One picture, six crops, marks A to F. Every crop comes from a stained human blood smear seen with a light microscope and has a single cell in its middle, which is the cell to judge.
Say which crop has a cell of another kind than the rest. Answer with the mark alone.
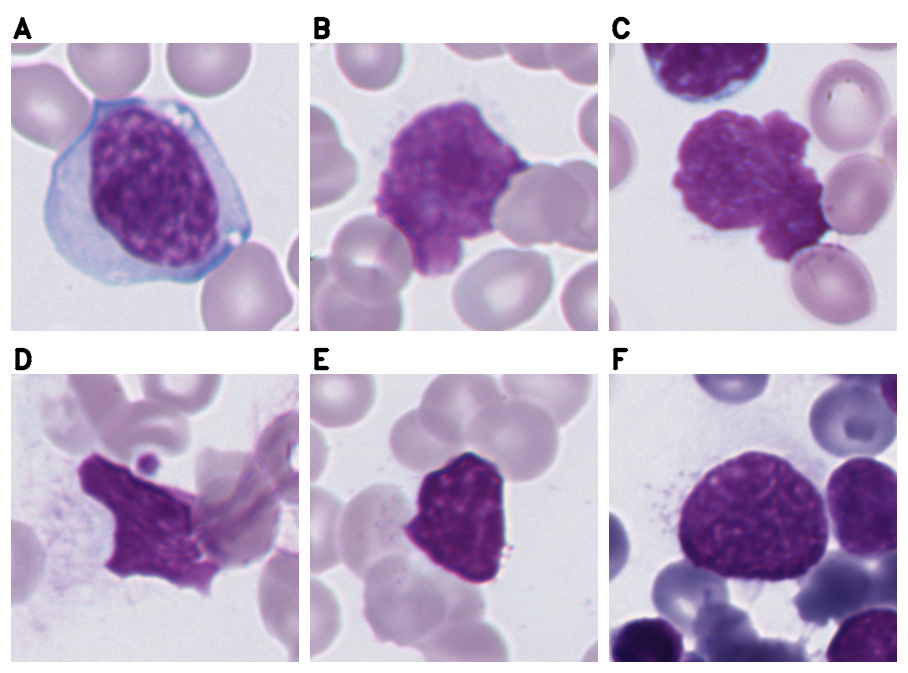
A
